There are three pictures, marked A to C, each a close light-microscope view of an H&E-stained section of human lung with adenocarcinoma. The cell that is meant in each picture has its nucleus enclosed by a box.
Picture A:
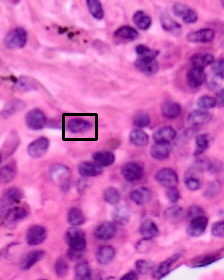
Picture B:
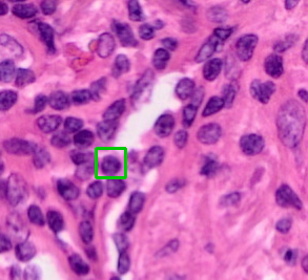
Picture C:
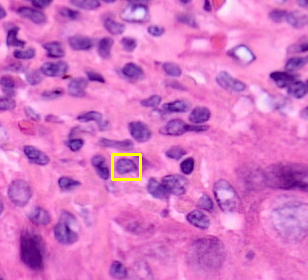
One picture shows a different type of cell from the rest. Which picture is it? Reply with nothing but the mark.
A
